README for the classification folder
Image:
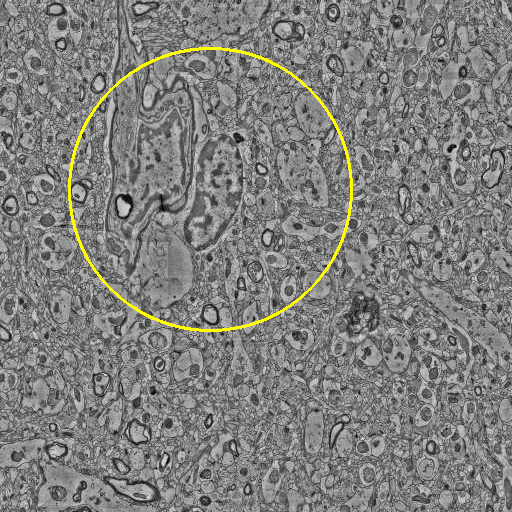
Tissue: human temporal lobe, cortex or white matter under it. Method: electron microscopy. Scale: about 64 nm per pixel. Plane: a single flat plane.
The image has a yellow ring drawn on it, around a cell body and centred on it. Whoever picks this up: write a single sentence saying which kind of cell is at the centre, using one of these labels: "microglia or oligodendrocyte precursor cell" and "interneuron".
This cell body is that of a microglial cell or oligodendrocyte precursor cell.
